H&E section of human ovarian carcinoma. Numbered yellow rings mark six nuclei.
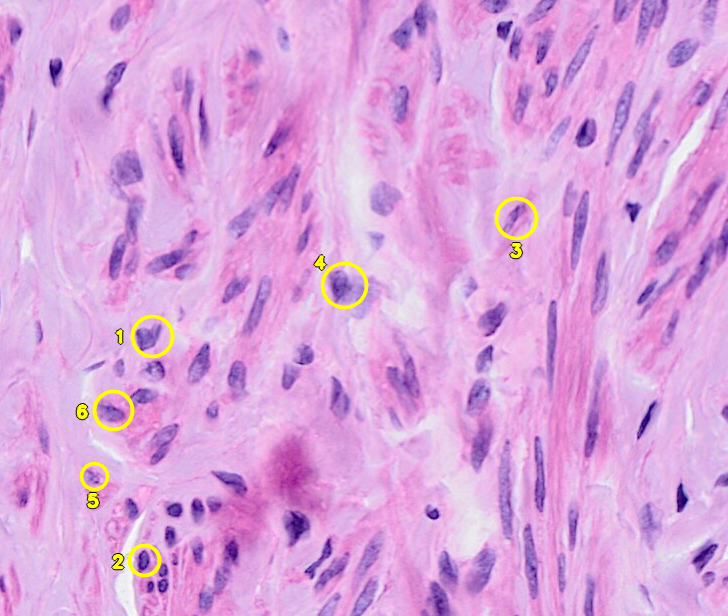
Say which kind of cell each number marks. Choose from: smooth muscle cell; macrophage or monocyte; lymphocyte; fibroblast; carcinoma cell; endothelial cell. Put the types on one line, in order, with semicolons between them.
fibroblast; smooth muscle cell; smooth muscle cell; fibroblast; smooth muscle cell; smooth muscle cell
